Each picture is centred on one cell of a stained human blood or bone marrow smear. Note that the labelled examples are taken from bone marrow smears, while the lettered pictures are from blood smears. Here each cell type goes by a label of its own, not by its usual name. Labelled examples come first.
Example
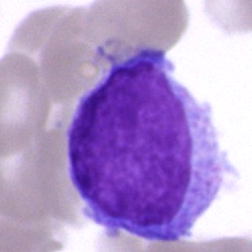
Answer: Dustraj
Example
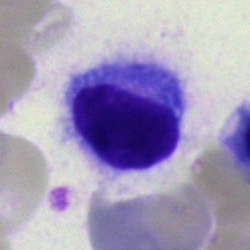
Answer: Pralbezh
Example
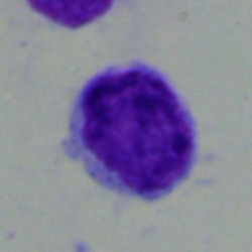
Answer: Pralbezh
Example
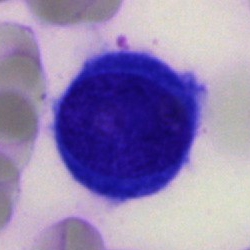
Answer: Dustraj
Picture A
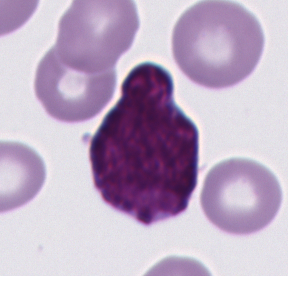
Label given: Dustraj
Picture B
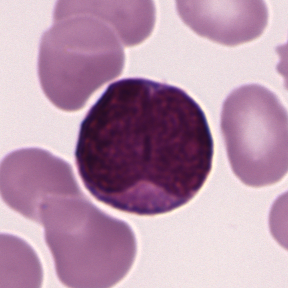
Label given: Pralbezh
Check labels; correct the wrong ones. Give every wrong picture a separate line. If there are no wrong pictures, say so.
B: change Pralbezh to Dustraj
